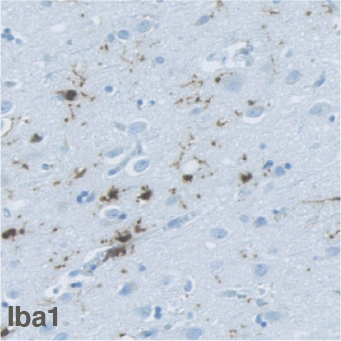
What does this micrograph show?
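Cerebral grey matter with scattered brown-stained microglia among blue-stained nuclei. The microglia have dark, rounded, somewhat clumped cell bodies with short, thick, branched processes. Many blue nuclei sit within clear halo-like spaces in the pale neuropil. The brown cells are unevenly spread, some lying close to one another.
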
